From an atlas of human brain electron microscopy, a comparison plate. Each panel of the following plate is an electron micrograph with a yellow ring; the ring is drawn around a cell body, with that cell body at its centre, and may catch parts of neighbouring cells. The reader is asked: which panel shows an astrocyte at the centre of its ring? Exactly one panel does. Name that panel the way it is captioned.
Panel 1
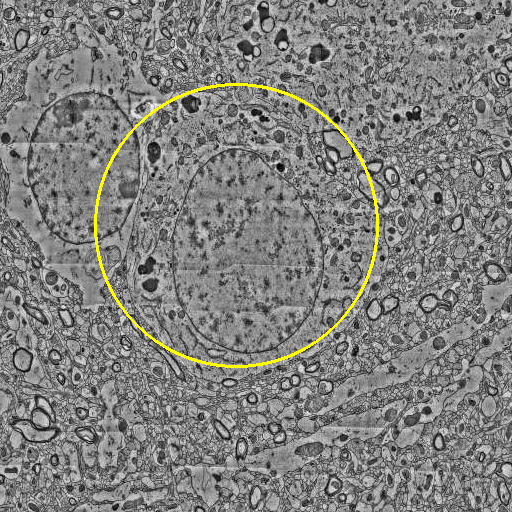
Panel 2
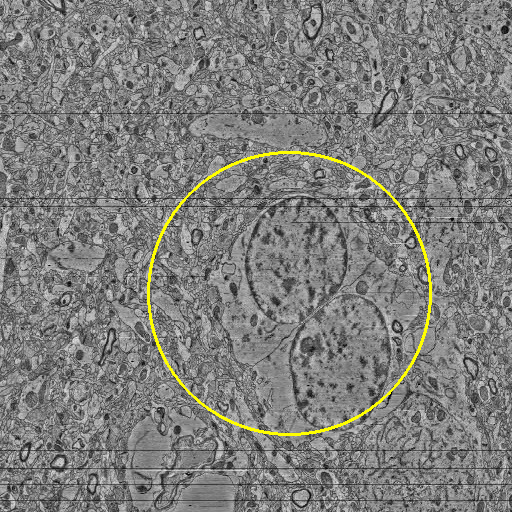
Panel 2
